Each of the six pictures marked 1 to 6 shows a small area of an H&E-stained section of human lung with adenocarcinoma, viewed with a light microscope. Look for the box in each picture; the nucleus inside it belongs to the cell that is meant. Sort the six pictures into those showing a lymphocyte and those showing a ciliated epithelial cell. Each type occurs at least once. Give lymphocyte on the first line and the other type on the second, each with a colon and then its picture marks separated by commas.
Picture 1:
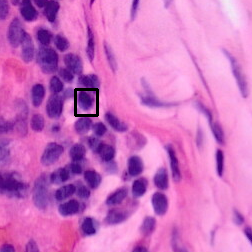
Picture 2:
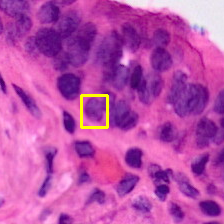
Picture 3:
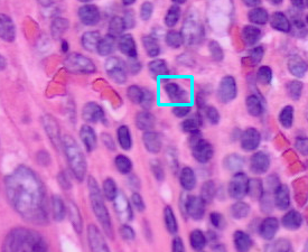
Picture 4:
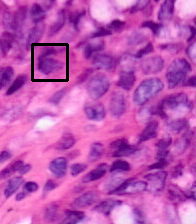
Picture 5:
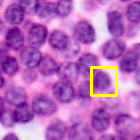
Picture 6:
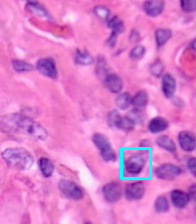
lymphocyte: 1, 3, 5, 6
ciliated epithelial cell: 2, 4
